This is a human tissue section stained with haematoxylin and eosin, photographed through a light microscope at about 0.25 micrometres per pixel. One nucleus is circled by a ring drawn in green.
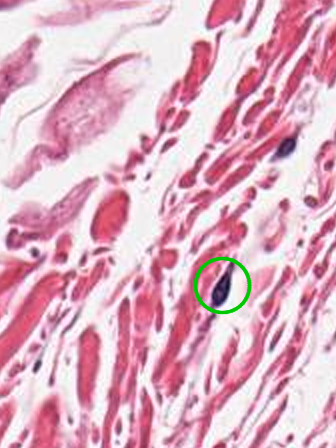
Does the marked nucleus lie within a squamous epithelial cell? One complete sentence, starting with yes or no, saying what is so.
No, the marked nucleus belongs not to a squamous epithelial cell but to a supporting cell of connective tissue, a vessel or the immune system.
